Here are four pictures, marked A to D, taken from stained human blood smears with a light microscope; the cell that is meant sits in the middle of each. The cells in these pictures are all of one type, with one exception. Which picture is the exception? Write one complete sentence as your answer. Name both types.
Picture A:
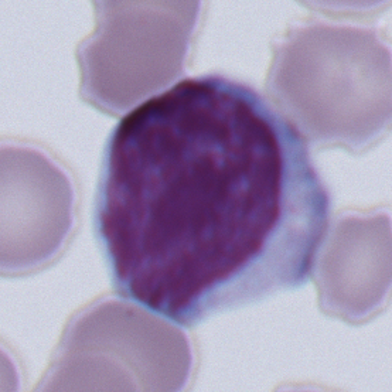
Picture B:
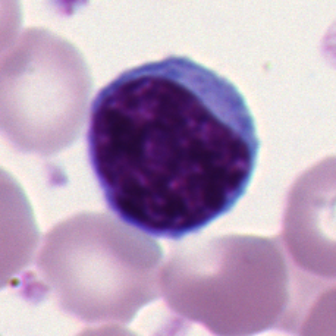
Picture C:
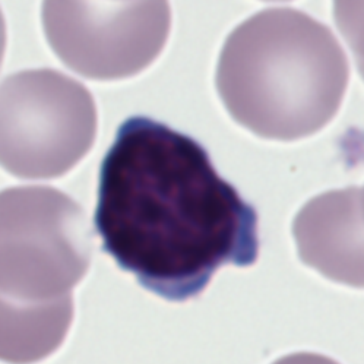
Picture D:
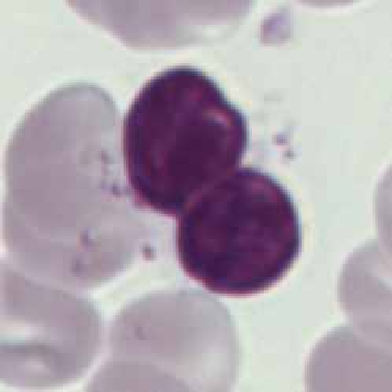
The different one is picture D; it shows a smudge cell, whereas all the others show typical lymphocytes.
